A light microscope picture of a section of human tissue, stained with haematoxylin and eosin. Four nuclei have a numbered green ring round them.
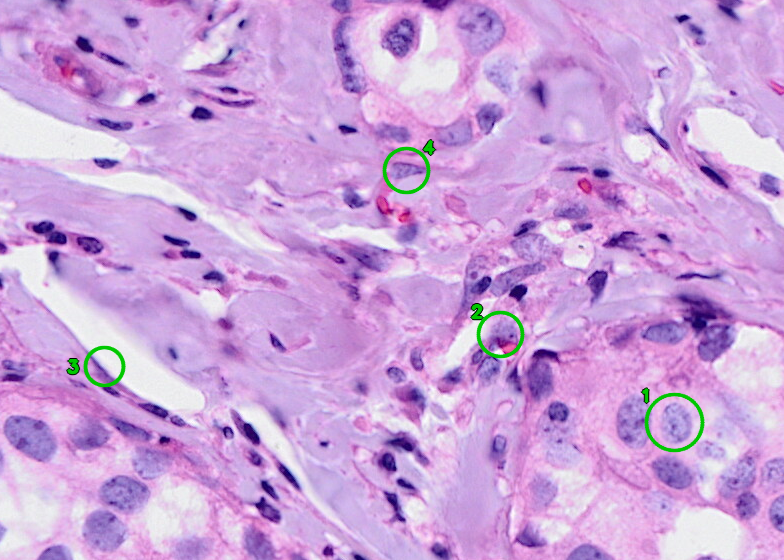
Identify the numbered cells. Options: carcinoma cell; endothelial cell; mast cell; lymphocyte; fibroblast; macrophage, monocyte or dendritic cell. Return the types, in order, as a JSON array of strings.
["carcinoma cell", "endothelial cell", "fibroblast", "endothelial cell"]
